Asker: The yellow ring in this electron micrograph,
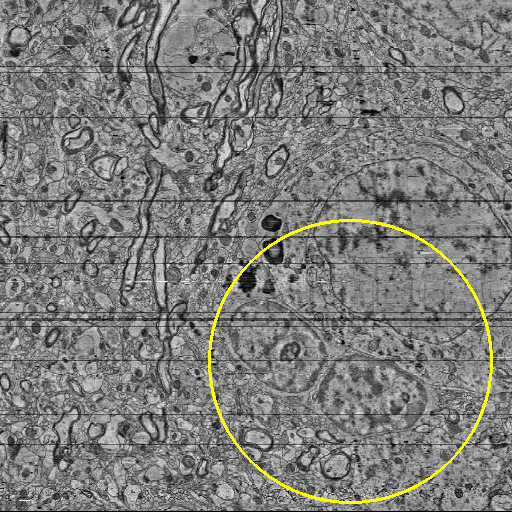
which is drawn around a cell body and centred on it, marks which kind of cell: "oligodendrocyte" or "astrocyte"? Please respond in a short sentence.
The marked cell is an oligodendrocyte.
